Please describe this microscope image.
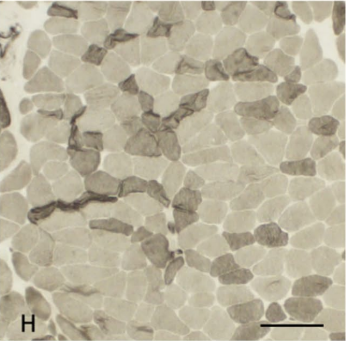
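Skeletal muscle is cut in cross-section, showing polygonal fibres of two shades, pale and dark grey-brown. The pale fibres are the majority and are of fairly even, larger size. The dark fibres are scattered singly and in small clusters among the pale ones, and many are small, angular or flattened between their neighbours.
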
